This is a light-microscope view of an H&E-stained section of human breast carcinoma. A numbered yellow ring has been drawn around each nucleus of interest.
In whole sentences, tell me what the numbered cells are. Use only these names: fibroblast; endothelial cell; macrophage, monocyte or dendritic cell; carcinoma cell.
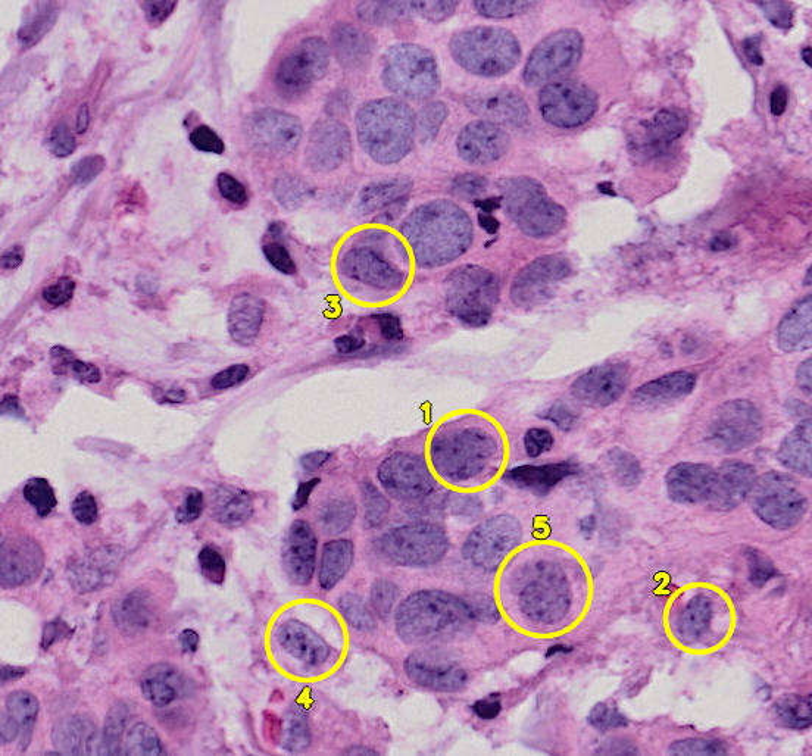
Cell 1 is a carcinoma cell, cell 2 is an endothelial cell, cell 3 is a carcinoma cell, cell 4 is a macrophage, monocyte or dendritic cell and cell 5 is a carcinoma cell.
